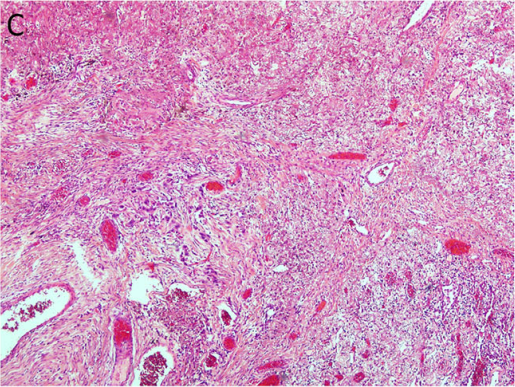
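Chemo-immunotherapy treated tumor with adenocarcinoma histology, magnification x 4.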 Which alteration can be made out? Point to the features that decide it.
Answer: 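Dense fibrosis. Scattered vessels lie within the fibrous tissue.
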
